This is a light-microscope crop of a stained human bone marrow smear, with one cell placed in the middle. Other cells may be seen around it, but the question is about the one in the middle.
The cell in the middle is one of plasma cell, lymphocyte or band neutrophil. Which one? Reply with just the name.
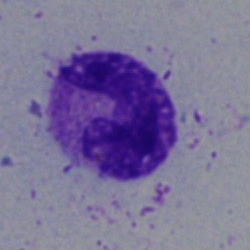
band neutrophil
